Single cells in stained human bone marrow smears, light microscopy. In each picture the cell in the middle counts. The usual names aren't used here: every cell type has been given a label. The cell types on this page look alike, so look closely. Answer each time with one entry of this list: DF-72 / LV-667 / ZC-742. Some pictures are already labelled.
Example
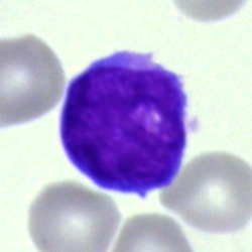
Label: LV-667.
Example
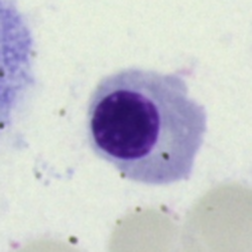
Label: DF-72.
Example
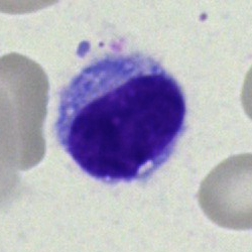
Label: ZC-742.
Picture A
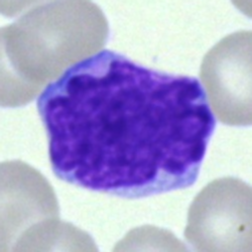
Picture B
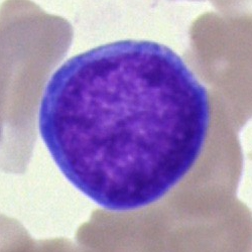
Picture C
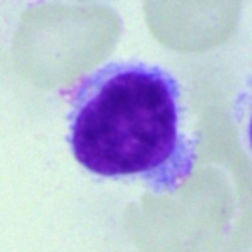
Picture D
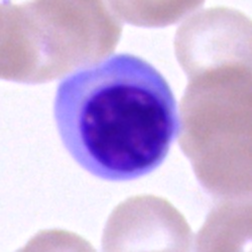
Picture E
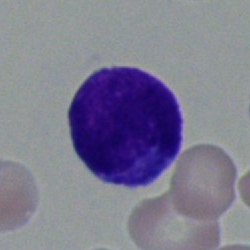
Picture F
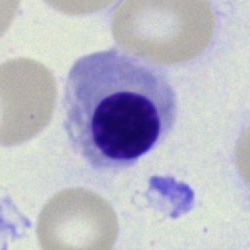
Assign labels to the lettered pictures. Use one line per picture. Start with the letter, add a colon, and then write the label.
A: LV-667.
B: LV-667.
C: ZC-742.
D: DF-72.
E: LV-667.
F: DF-72.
